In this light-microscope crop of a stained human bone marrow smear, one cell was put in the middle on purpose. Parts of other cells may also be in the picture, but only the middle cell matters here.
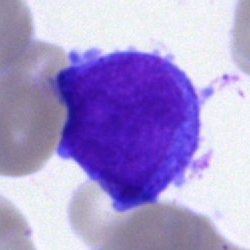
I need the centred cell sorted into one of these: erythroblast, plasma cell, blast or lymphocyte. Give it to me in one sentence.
In the middle of this smear crop is a blast.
